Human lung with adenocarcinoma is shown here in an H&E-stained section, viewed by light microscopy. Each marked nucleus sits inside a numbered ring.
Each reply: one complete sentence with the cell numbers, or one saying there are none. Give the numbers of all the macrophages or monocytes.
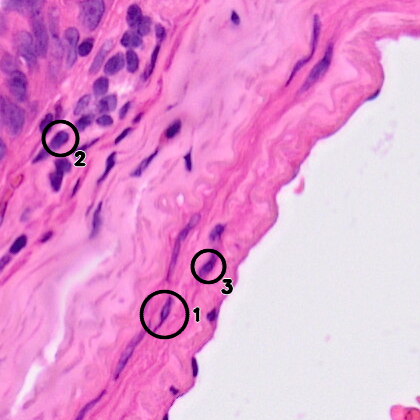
There is not a single one of the macrophages or monocytes among the numbered cells.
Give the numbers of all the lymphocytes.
Among the marked cells, cell number 2 alone is a lymphocyte.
